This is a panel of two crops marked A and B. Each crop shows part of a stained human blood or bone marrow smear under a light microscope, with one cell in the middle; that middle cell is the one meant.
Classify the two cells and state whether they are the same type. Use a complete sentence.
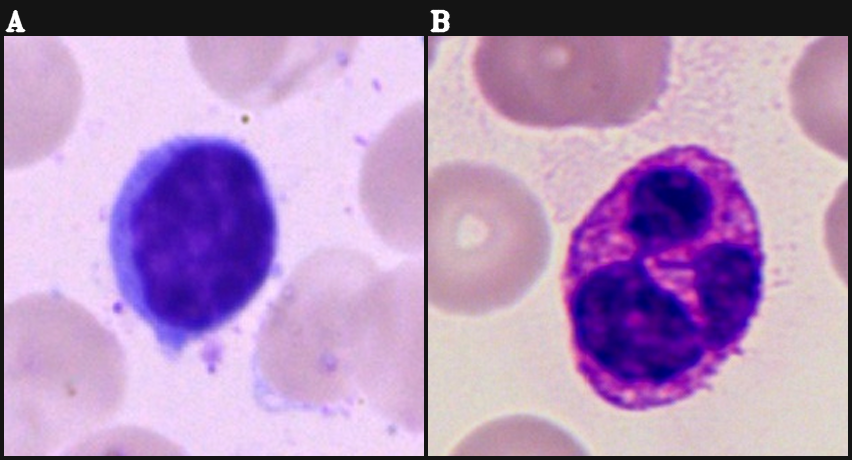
No, crop A presents a lymphocyte; crop B presents a basophil.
